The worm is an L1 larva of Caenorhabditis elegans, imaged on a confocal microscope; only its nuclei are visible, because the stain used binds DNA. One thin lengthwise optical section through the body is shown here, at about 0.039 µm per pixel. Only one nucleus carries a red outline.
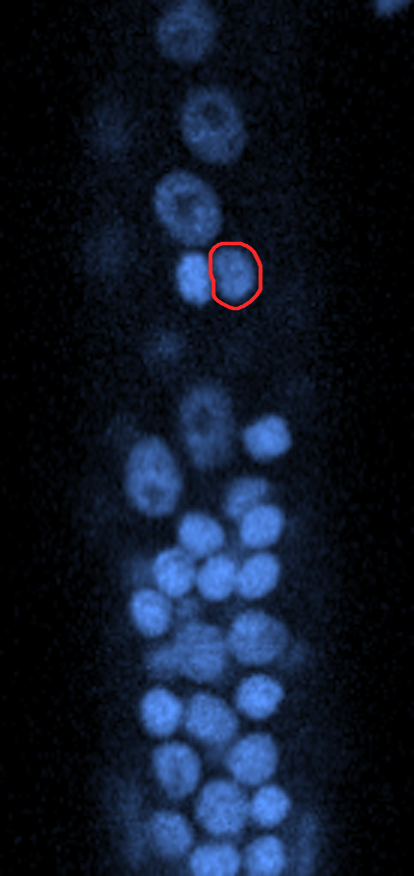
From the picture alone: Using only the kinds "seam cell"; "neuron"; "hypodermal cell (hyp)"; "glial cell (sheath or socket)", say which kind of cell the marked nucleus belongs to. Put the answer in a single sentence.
The marked nucleus is that of a neuron.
